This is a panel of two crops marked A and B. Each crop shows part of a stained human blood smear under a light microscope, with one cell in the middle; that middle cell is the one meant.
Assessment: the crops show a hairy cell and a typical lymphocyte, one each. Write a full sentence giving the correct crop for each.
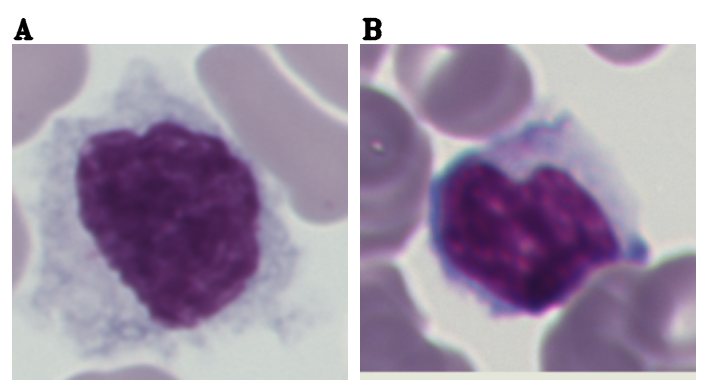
At the centre of crop A lies a hairy cell, and at the centre of crop B lies a typical lymphocyte.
